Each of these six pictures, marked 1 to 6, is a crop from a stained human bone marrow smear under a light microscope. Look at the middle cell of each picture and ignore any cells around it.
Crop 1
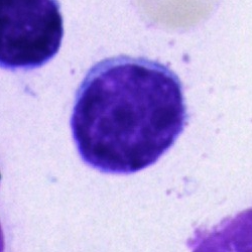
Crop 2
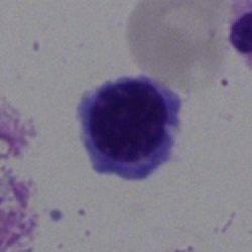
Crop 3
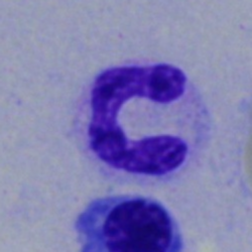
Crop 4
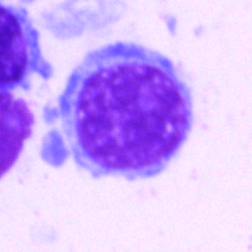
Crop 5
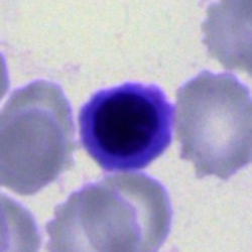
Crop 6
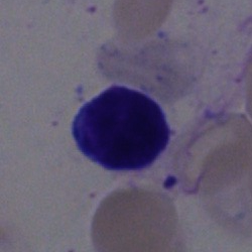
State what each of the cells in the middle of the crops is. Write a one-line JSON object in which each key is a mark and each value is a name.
{"1": "lymphocyte", "2": "erythroblast", "3": "segmented neutrophil", "4": "lymphocyte", "5": "erythroblast", "6": "lymphocyte"}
